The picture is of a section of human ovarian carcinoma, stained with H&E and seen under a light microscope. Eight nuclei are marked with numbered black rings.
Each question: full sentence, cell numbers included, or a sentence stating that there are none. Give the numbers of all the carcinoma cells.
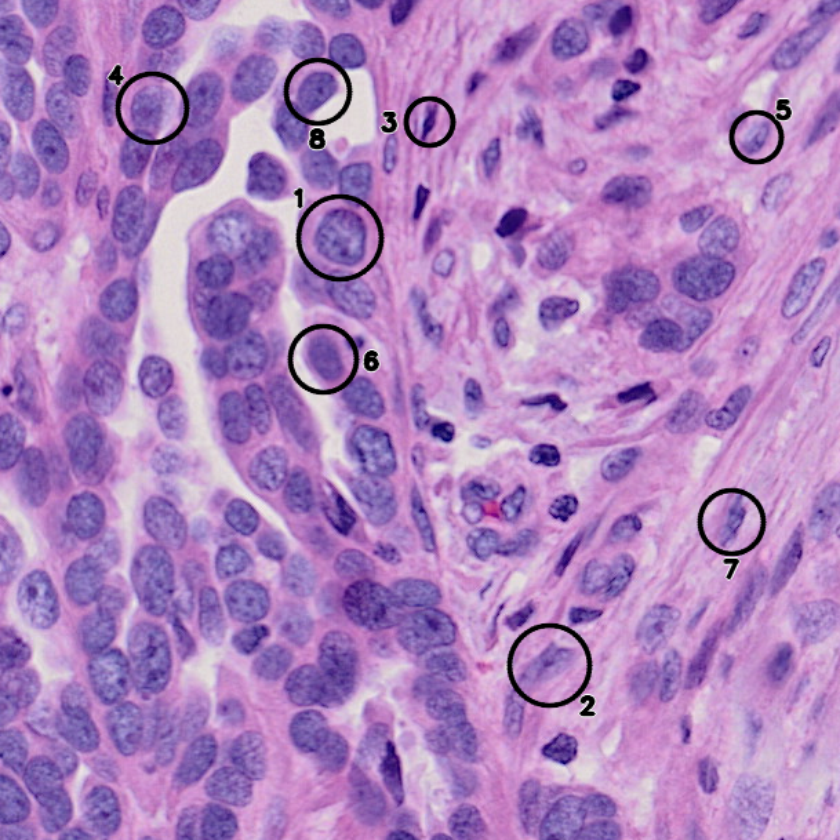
Cells 1, 4, 6 and 8 are of one type, namely carcinoma cells.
